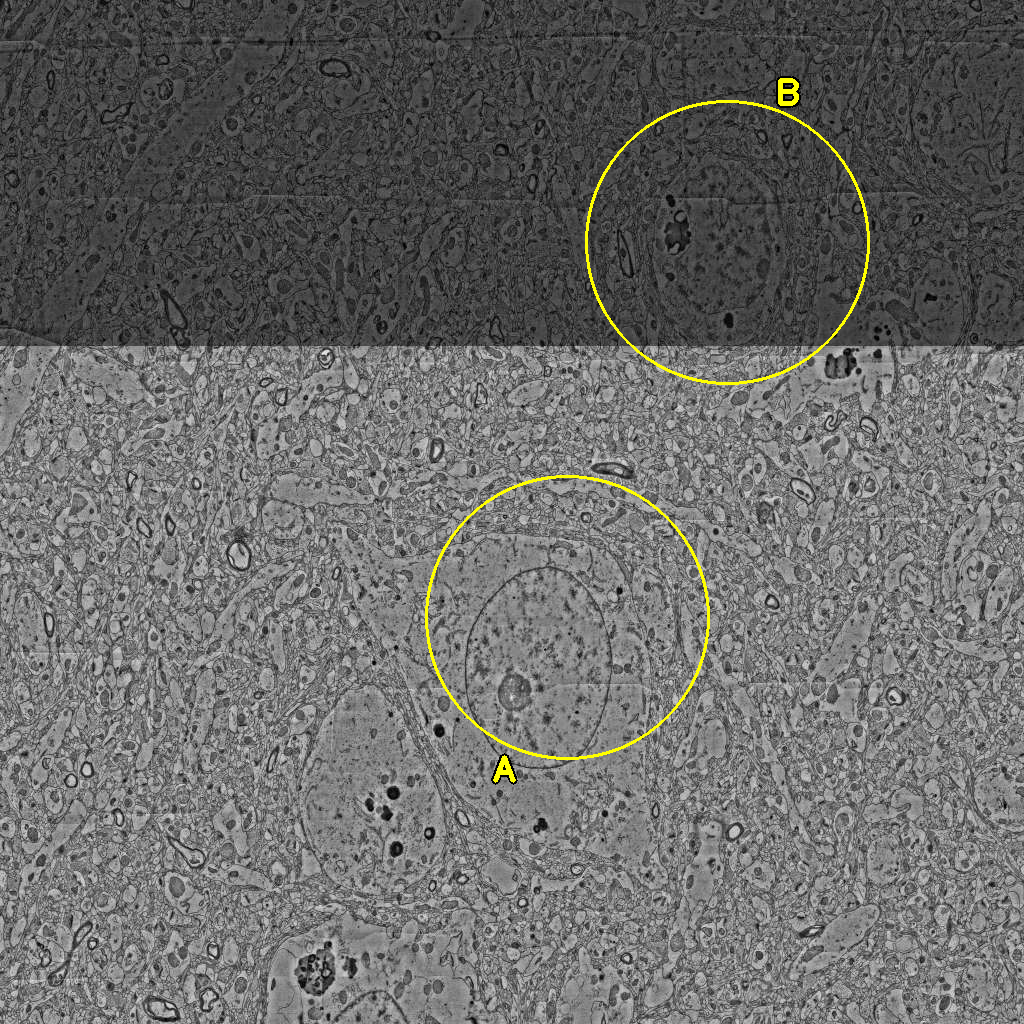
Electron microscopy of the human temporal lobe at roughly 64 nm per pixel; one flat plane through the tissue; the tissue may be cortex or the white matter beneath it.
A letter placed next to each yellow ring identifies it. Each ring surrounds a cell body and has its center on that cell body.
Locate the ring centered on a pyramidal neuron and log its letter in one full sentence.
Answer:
Ring A has at its center the cell that the task asks for.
